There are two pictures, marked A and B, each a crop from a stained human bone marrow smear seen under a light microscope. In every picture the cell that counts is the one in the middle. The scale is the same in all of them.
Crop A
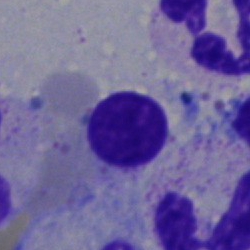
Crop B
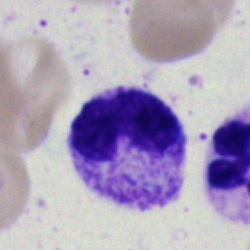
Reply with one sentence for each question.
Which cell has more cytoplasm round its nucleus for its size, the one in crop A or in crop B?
In crop B the nucleus takes up the smaller part of its cell.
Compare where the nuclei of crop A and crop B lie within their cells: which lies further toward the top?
In crop B the nucleus is shifted more toward the top.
